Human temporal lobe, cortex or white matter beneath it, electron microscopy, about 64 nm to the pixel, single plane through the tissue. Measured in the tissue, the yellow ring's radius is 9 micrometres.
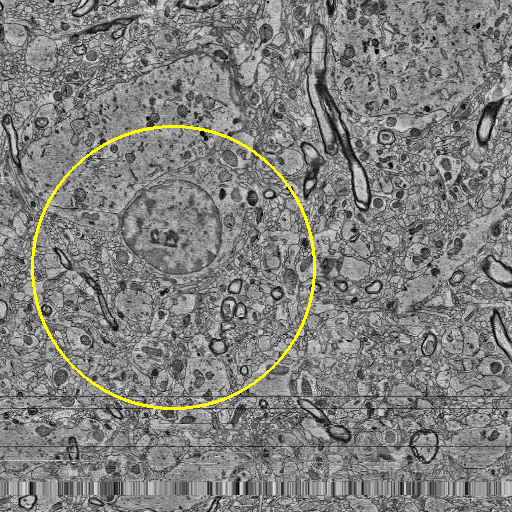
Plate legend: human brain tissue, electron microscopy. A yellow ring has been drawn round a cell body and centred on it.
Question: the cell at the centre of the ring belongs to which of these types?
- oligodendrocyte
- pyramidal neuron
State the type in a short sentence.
The cell in the middle of the ring is an oligodendrocyte.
